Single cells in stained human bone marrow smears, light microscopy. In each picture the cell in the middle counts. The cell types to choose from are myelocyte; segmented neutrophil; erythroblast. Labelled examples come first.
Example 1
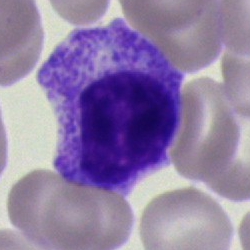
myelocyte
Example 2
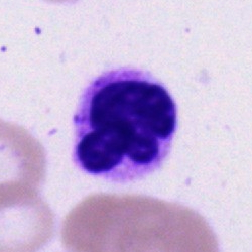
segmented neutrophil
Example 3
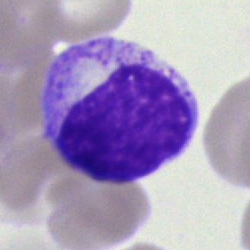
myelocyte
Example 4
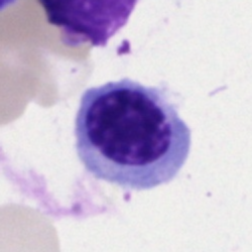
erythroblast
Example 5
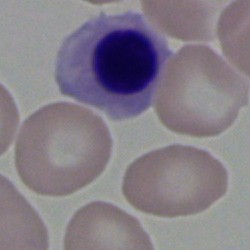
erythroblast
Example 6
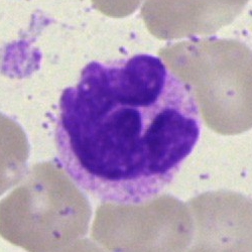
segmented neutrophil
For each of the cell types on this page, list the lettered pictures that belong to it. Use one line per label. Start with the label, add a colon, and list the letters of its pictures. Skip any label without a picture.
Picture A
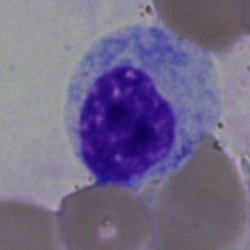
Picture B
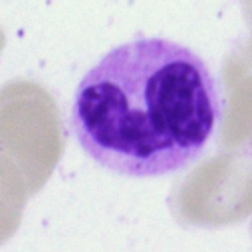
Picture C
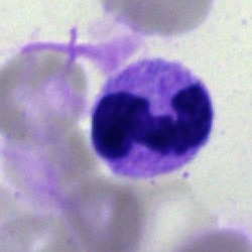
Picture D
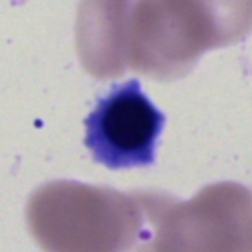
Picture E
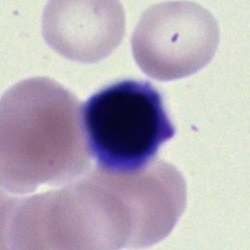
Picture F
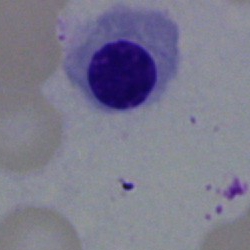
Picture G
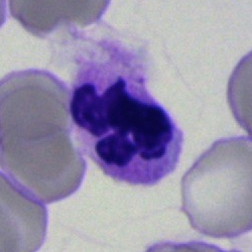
myelocyte: A
segmented neutrophil: B, C, G
erythroblast: D, E, F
